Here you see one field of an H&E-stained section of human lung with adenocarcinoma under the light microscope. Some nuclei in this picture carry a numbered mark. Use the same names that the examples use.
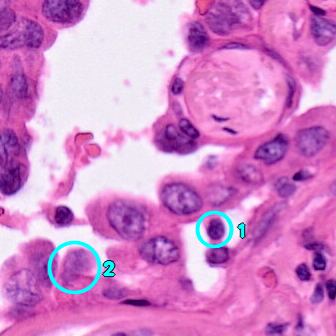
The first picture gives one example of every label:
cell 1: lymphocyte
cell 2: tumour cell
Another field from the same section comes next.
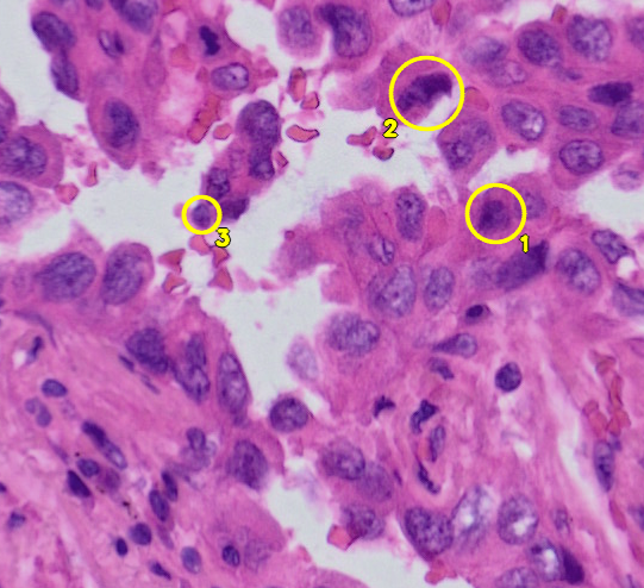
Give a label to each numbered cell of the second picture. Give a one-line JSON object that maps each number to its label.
{"1": "tumour cell", "2": "tumour cell", "3": "lymphocyte"}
